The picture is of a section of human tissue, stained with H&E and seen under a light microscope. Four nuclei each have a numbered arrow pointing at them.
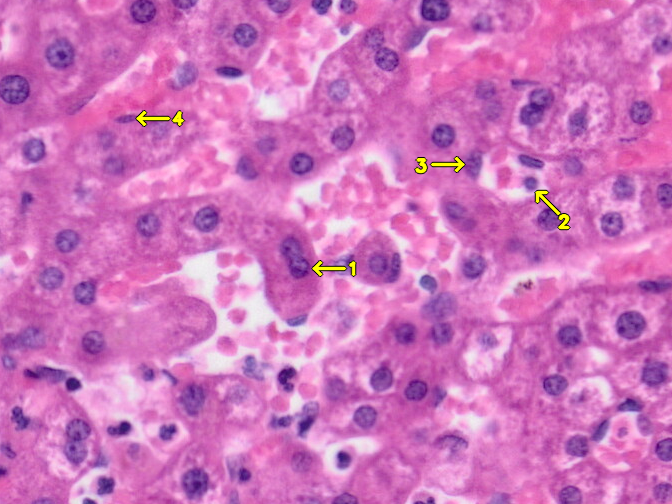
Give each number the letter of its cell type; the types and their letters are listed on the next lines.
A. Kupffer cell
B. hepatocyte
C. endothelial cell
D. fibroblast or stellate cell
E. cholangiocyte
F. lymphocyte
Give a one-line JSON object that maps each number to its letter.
{"1": "B", "2": "F", "3": "C", "4": "D"}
